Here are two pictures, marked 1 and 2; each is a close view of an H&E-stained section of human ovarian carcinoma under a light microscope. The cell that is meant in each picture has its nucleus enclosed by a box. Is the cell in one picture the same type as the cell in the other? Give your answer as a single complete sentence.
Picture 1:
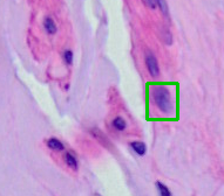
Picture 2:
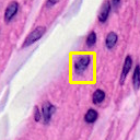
Yes, both are smooth muscle cells.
